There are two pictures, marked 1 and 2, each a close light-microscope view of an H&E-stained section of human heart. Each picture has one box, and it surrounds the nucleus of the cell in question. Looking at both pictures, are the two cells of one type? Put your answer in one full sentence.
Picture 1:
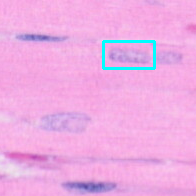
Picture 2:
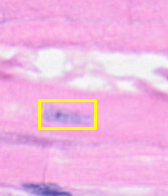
Yes, they are the same type: both are cardiomyocytes.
